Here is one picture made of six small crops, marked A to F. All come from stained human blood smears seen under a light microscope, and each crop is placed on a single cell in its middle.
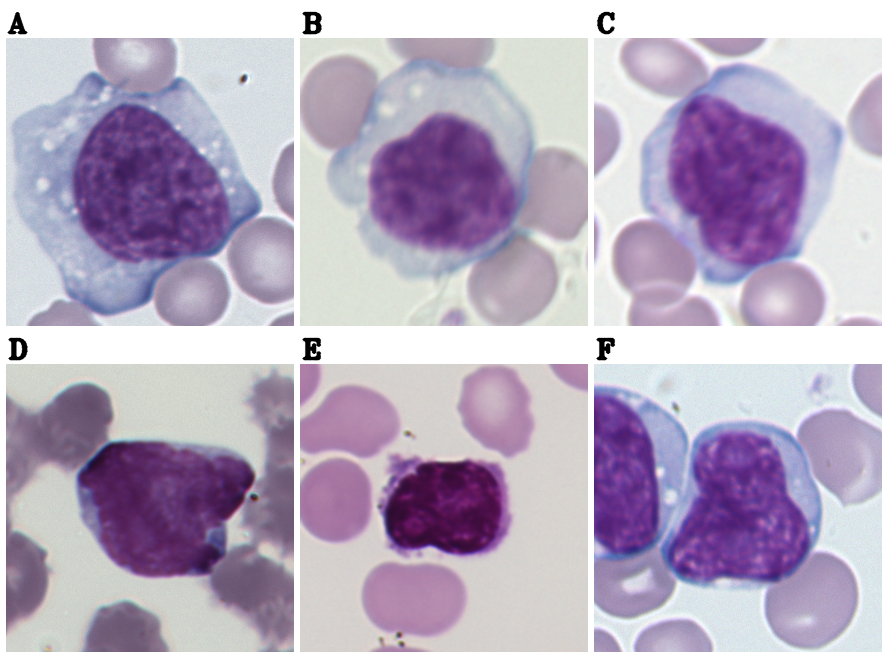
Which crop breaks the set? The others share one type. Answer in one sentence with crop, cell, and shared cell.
Crop E is the outlier, with a typical lymphocyte against myeloblasts in the rest.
